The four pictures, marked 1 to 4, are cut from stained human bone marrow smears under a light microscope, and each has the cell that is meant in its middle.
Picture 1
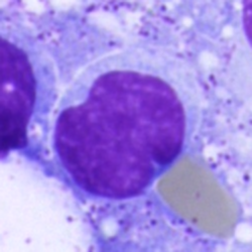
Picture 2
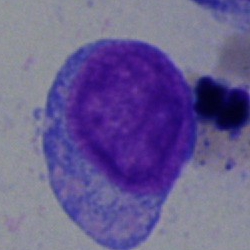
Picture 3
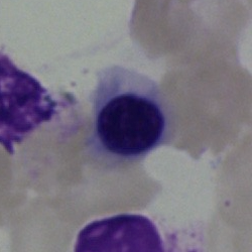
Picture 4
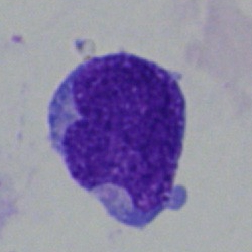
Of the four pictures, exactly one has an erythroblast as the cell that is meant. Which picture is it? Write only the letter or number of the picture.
3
